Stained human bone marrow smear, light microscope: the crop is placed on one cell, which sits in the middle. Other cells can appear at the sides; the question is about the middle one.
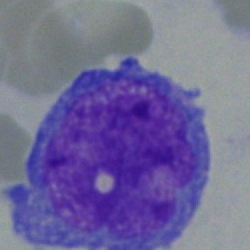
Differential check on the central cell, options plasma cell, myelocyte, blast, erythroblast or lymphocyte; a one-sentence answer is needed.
At the center of the crop sits a blast.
